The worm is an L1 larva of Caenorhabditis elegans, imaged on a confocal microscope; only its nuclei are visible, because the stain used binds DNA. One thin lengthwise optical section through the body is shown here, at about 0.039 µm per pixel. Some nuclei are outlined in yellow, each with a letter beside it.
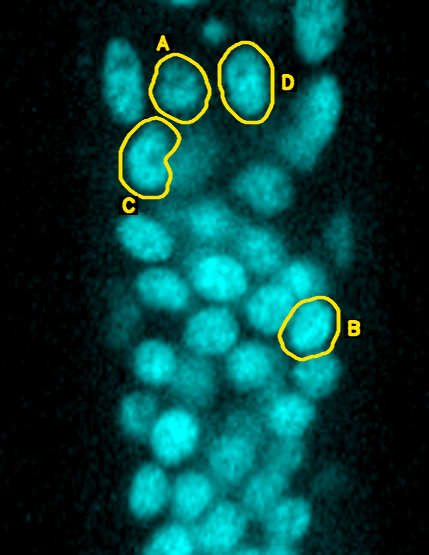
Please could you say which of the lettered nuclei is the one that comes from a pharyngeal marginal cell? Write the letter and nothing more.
D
